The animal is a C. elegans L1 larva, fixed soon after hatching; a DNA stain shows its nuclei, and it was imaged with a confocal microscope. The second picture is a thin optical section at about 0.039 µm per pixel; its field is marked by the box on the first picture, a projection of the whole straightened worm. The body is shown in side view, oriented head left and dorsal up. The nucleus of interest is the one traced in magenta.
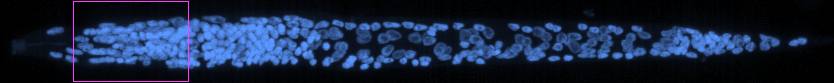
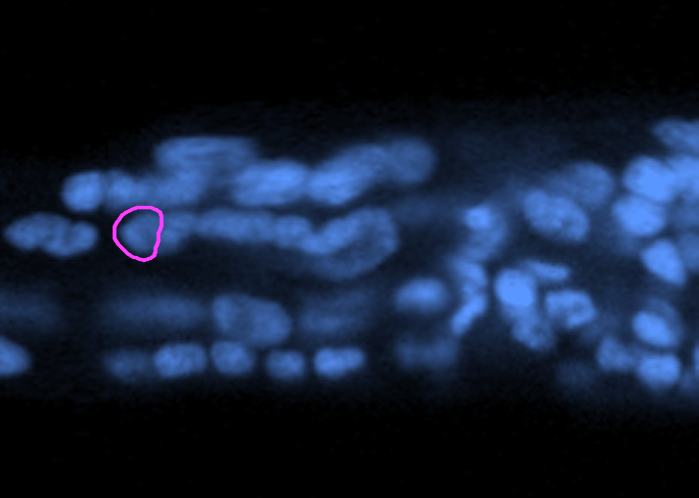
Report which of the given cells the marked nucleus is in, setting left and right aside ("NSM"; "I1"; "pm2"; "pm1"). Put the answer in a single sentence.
The cell whose nucleus is marked is pm2, a pharyngeal muscle cell.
